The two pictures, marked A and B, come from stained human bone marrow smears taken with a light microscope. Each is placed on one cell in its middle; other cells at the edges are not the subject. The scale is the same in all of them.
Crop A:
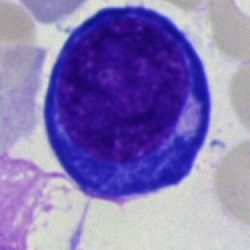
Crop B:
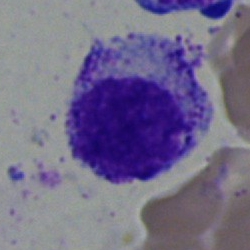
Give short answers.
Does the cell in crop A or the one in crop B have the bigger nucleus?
A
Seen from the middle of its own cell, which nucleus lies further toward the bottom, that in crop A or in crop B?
B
